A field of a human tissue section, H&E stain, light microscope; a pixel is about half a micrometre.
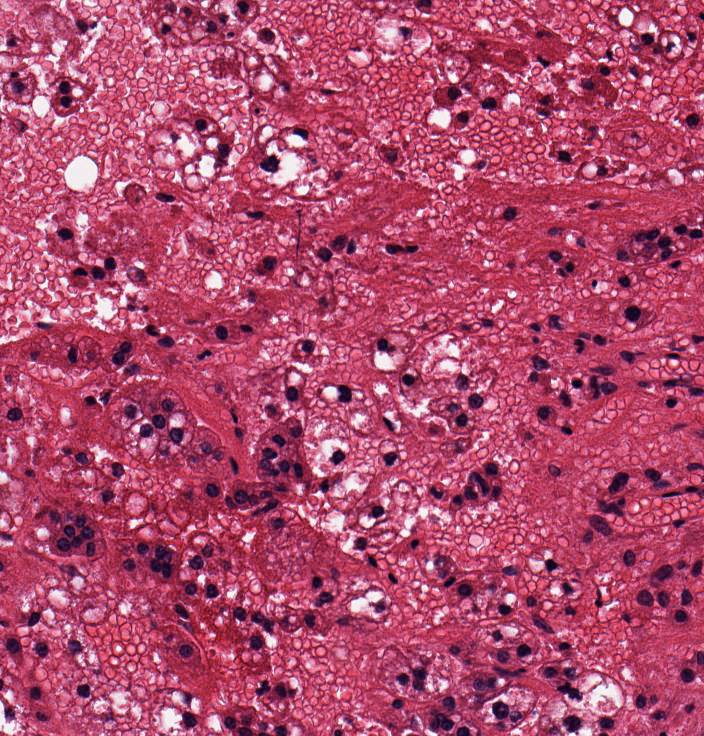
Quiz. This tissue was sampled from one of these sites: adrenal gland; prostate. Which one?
adrenal gland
